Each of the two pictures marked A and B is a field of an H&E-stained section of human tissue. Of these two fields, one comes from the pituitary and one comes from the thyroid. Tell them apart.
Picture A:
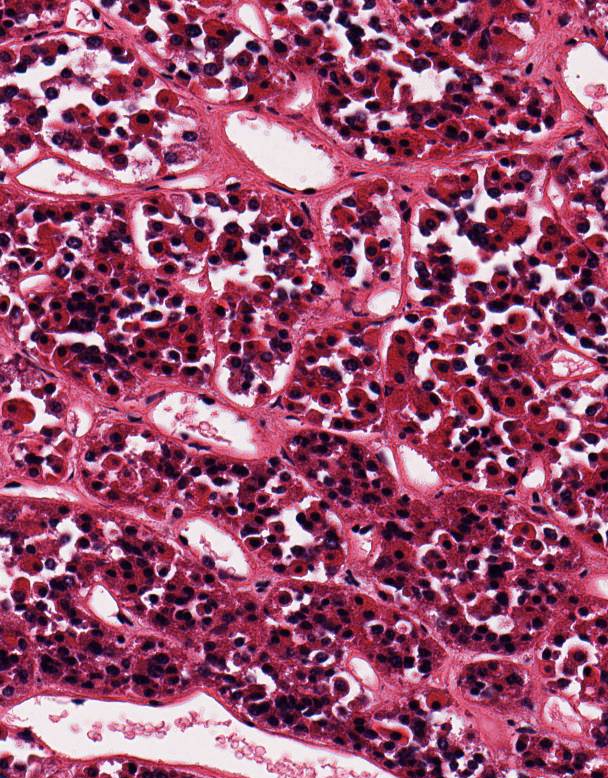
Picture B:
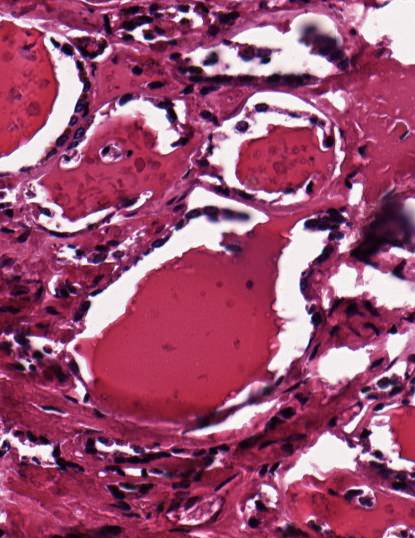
A: pituitary
B: thyroid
